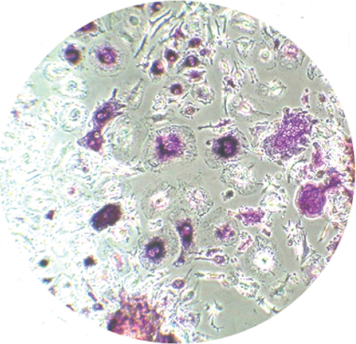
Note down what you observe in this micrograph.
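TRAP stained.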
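Several large, rounded cells are stained deep purple-red, some with a darker centre and a paler rim. They lie among many smaller, unstained, spindle-shaped and stellate cells spread across the dish. Staining varies from cell to cell, with some stained cells more diffuse and granular.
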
